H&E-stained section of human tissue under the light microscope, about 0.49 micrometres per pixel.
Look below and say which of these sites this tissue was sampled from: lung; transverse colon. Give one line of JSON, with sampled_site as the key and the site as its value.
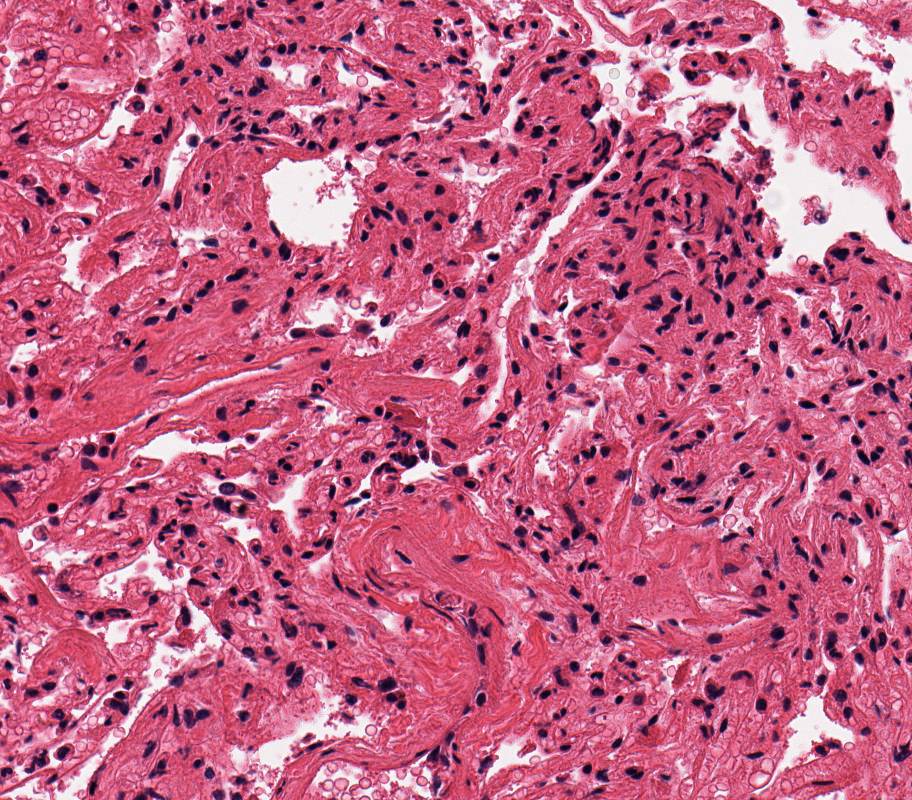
{"sampled_site": "lung"}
